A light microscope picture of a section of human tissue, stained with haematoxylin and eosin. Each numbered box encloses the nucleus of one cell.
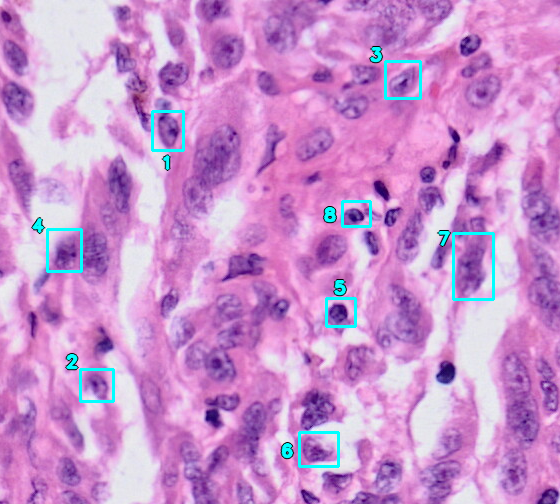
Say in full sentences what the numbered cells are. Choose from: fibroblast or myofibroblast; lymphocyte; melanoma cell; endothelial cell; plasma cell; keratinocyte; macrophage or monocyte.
Cell 1 is a macrophage or monocyte. Cells 2, 4, 6 and 7 are melanoma cells. Cell 3 is an endothelial cell. Cells 5 and 8 are lymphocytes.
